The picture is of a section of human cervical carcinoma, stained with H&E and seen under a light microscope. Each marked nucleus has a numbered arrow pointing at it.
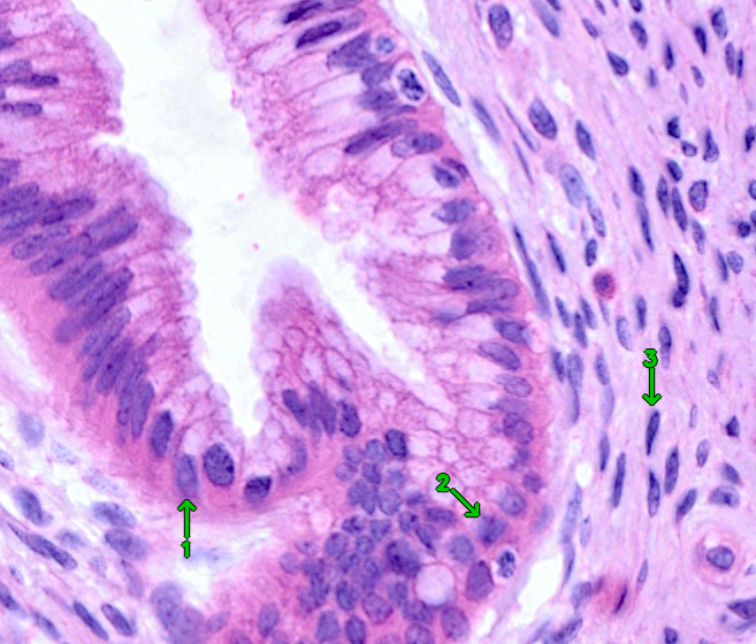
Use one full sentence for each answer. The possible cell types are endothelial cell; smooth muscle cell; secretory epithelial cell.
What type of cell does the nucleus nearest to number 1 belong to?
Number 1 lies closest to the nucleus of a secretory epithelial cell.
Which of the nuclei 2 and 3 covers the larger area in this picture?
At about 2 times the area of nucleus 3, nucleus 2 is the larger of the two.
